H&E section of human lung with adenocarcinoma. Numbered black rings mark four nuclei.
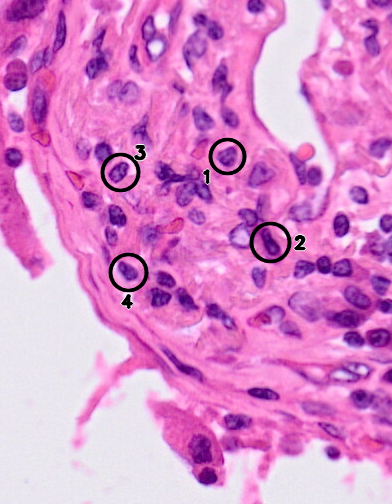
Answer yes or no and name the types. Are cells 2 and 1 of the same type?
No, rather, cell 2 is a plasma cell and cell 1 is a lymphocyte.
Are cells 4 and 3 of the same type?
Yes, regarding cells 4 and 3, both are lymphocytes.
